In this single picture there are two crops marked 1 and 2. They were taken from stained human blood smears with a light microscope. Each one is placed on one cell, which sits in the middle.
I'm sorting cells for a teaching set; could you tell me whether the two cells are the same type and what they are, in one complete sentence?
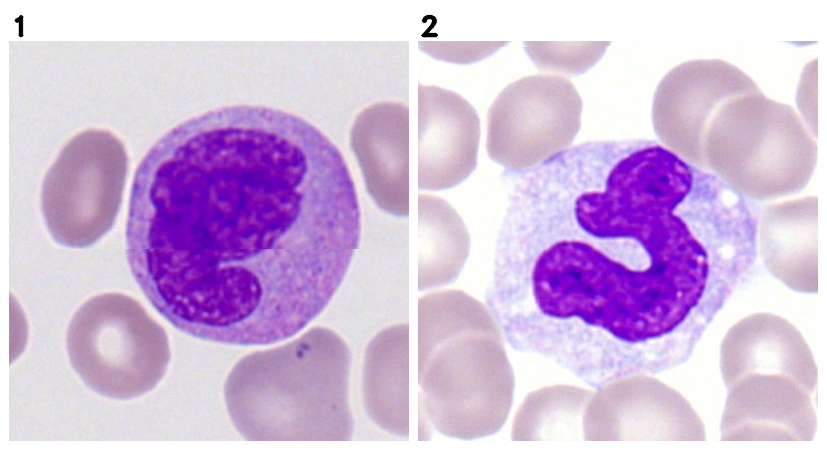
Yes, at the centre of both crops are monocytes.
